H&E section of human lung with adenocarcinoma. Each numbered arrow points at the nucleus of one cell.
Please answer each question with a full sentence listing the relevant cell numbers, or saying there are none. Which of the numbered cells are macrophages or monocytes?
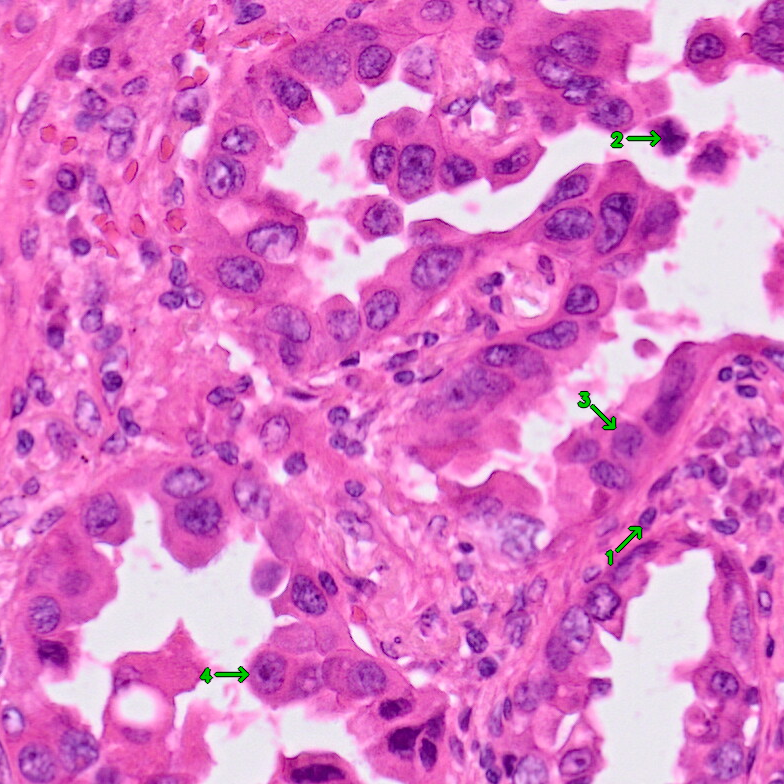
Found among the numbered cells are no macrophages or monocytes.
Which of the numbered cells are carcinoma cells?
By cell type, the cells numbered 2, 3 and 4 are carcinoma cells.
